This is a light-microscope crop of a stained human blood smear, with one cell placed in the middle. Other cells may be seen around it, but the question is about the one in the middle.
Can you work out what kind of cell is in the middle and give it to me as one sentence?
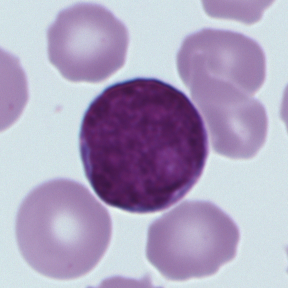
The cell in the middle of the field of view is a myeloblast.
